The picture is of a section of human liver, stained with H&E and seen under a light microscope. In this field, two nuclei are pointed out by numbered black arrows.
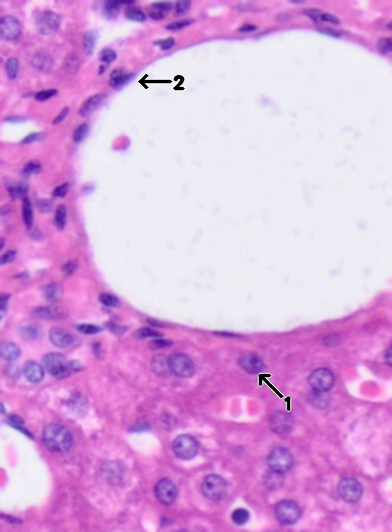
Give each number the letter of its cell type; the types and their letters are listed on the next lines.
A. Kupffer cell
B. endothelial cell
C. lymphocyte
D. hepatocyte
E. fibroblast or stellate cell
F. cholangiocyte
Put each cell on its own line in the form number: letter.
1: D
2: E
